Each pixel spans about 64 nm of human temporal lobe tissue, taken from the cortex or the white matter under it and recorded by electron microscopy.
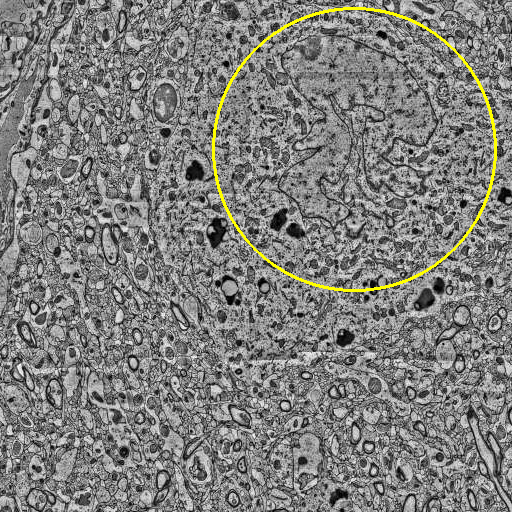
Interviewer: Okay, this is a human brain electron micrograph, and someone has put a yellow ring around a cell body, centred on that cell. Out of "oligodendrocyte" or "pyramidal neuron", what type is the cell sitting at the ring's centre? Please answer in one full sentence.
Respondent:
The cell at the centre of the yellow ring in this picture is a pyramidal neuron.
